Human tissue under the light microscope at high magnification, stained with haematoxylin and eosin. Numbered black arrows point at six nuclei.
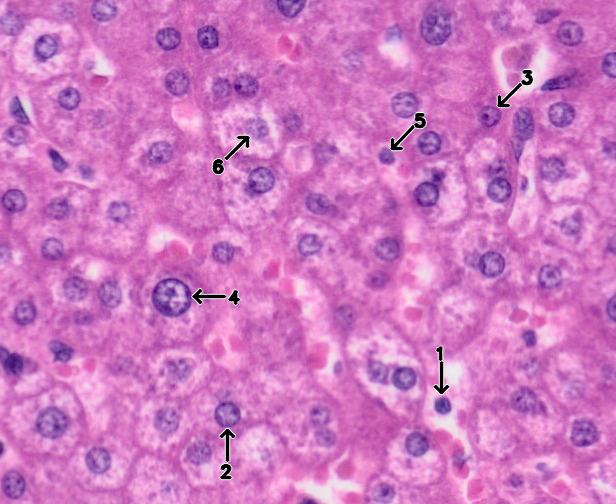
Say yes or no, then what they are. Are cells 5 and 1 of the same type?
Yes, both are lymphocytes.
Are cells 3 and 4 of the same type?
Yes, both are hepatocytes.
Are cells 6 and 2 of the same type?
Yes, both are hepatocytes.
